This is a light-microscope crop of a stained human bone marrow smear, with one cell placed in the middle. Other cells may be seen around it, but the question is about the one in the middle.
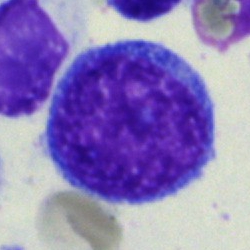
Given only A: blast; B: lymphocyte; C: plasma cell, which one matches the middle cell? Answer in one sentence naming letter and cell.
Identified correctly by option A, the cell in the middle is a blast.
